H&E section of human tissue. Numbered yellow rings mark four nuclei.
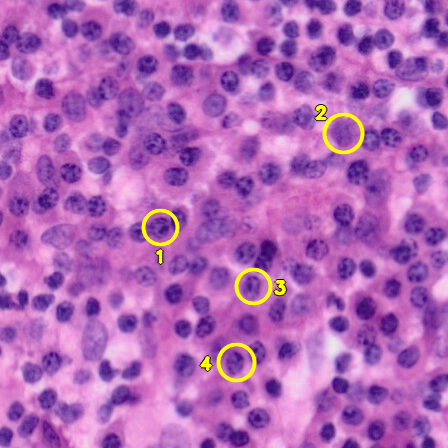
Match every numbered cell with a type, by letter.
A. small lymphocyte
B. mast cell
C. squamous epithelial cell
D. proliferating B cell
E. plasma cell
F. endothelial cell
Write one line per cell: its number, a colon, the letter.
1: E
2: C
3: E
4: E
